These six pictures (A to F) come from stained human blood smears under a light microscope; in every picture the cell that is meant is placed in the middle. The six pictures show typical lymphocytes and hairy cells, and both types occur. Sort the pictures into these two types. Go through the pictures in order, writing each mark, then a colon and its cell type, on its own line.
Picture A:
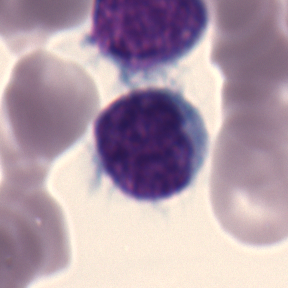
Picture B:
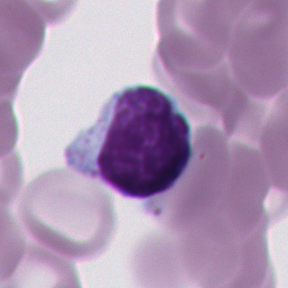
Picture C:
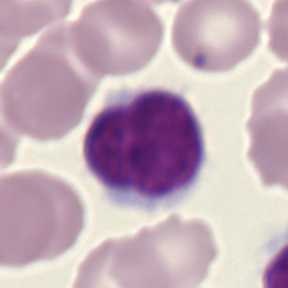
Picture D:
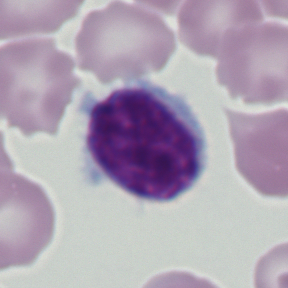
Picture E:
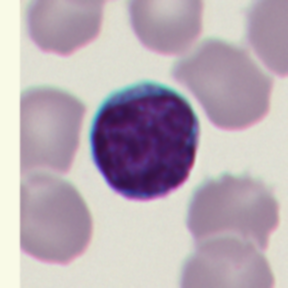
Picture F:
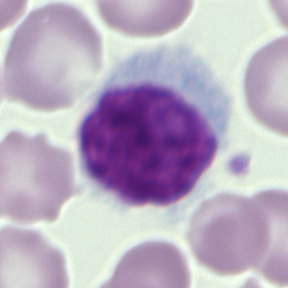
A: hairy cell
B: typical lymphocyte
C: hairy cell
D: hairy cell
E: typical lymphocyte
F: hairy cell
